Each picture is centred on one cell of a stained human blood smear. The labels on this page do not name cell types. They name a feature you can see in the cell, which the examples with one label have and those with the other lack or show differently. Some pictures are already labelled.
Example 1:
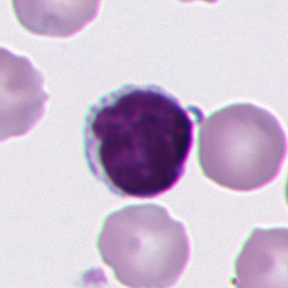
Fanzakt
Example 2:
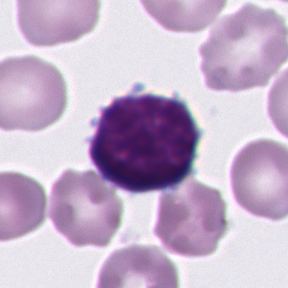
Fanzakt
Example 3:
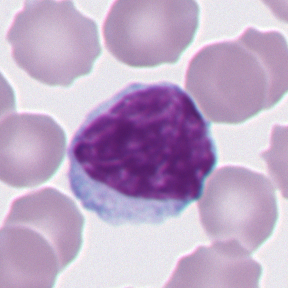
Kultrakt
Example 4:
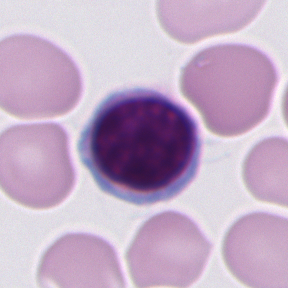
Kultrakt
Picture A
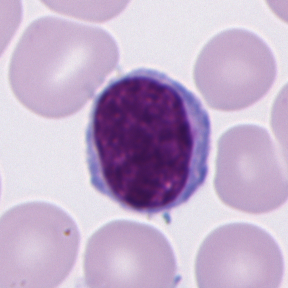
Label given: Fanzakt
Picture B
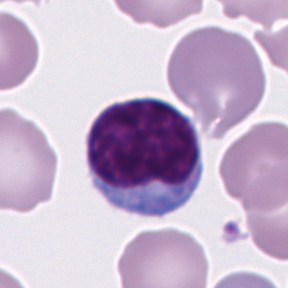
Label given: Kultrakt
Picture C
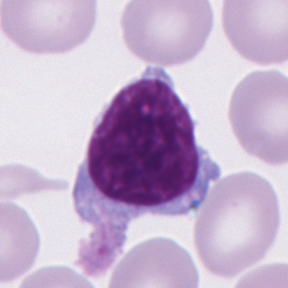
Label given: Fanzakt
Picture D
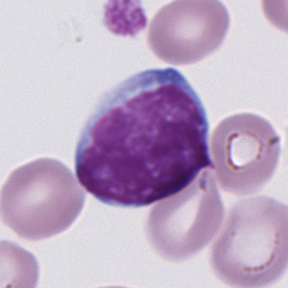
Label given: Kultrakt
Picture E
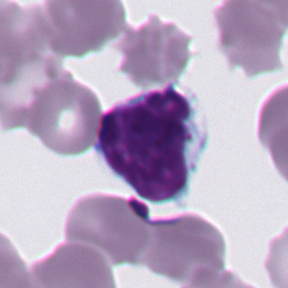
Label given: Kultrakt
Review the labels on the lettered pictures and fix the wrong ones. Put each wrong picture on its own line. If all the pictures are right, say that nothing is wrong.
E: Fanzakt, not Kultrakt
